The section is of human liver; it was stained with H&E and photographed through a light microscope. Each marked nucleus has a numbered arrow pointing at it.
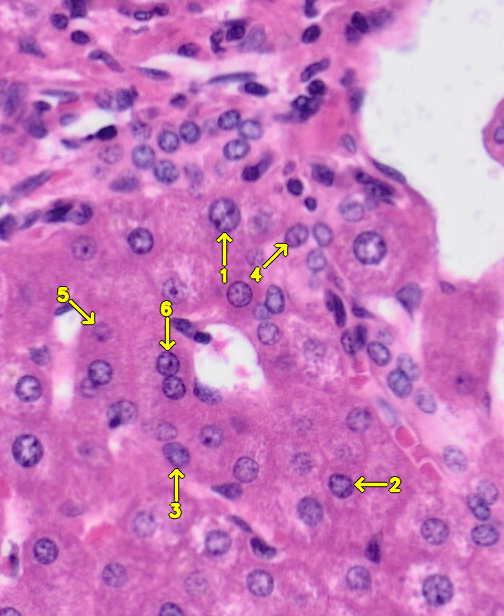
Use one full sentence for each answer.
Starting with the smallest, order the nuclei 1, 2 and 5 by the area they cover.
From smallest to largest, the order is 5, 2, 1.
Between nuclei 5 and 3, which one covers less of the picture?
Nucleus 5 covers less area, with nucleus 3 about 2 times as large.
